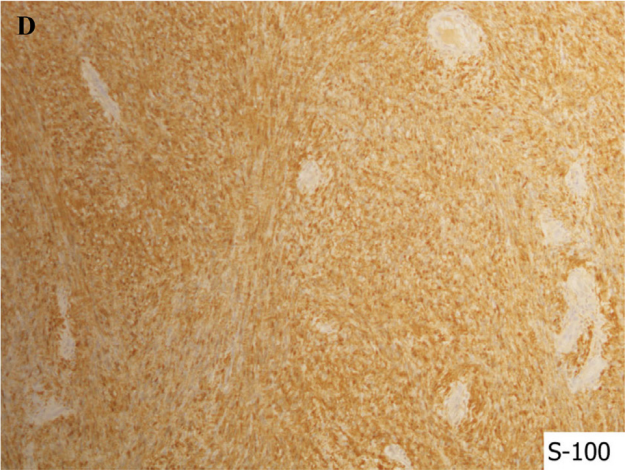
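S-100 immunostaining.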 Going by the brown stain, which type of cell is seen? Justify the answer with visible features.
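Brown stain covers almost the whole cellular field diffusely. Small unstained pale patches stand out, round to elongated, against the brown background.
Conclusion: tumor cells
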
